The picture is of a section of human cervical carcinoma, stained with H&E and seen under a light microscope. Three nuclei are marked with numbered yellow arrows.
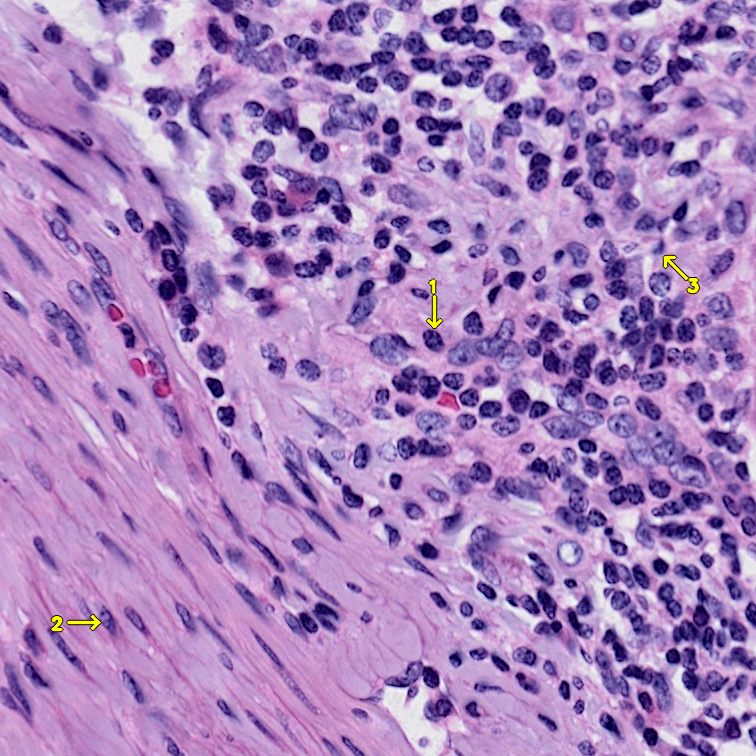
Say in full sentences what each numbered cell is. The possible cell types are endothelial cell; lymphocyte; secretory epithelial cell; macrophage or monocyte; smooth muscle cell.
Cell 1 is a lymphocyte, cell 2 is a smooth muscle cell and cell 3 is a lymphocyte.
